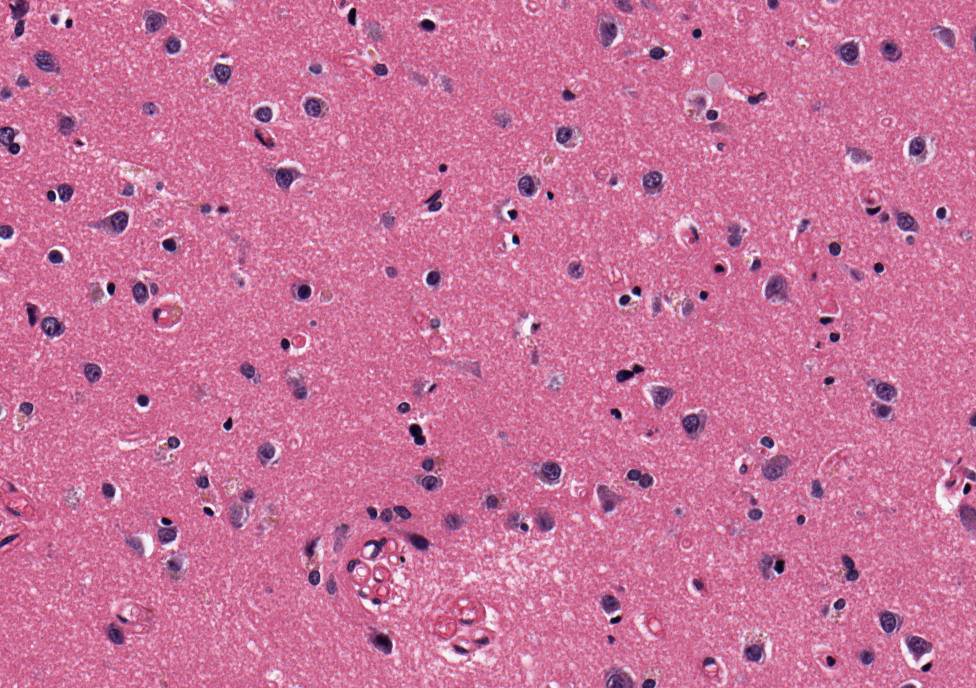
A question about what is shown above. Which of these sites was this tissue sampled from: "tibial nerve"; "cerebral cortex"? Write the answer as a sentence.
The site this tissue was sampled from is the cerebral cortex.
